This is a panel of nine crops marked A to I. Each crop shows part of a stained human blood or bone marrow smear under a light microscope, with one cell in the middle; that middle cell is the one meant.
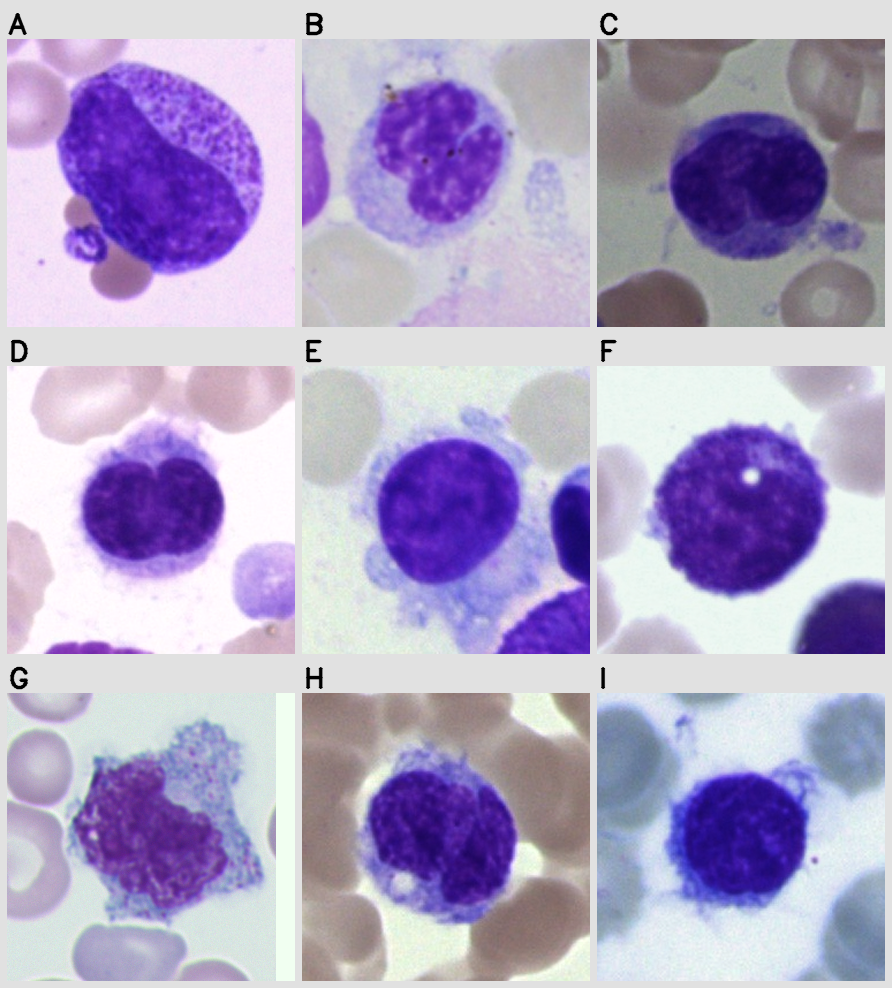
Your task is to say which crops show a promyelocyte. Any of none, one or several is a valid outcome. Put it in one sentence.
Crops A, F and G show promyelocytes at their centres.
